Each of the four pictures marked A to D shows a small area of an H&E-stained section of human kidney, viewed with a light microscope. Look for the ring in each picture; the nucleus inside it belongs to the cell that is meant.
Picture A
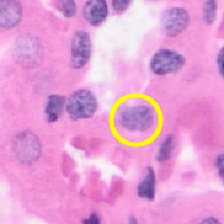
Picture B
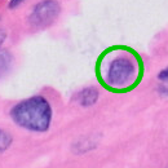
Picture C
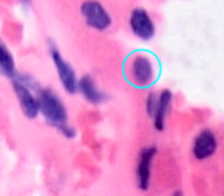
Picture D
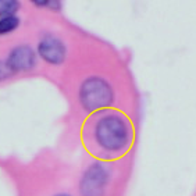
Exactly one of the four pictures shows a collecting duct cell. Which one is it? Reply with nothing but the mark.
D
